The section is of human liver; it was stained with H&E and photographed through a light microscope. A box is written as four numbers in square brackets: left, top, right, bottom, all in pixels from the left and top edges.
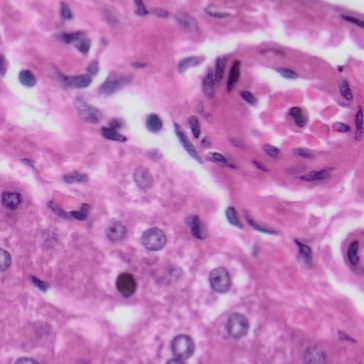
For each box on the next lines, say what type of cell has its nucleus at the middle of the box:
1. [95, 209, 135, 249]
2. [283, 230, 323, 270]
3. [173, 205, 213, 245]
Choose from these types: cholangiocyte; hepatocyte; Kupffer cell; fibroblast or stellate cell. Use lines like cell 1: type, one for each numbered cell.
cell 1: hepatocyte
cell 2: fibroblast or stellate cell
cell 3: fibroblast or stellate cell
